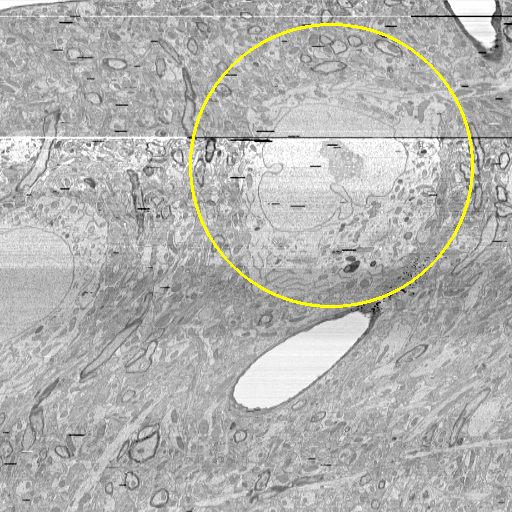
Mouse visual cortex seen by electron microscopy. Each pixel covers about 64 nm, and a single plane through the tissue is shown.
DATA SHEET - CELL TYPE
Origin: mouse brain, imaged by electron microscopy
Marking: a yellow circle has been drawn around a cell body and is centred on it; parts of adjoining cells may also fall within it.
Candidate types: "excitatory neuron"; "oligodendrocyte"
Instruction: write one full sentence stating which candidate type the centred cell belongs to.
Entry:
The cell body at the centre of the yellow ring in this micrograph belongs to an excitatory neuron.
